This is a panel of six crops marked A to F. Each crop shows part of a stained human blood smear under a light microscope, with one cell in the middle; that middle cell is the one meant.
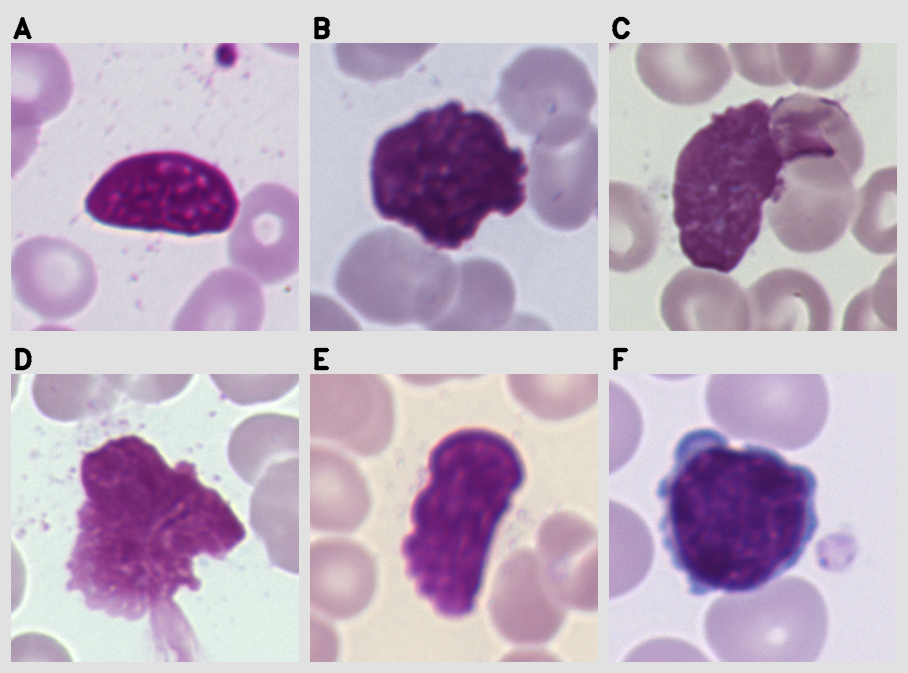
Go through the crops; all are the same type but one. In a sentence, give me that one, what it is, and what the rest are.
Crop F alone is a typical lymphocyte, and the other crops are all smudge cells.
